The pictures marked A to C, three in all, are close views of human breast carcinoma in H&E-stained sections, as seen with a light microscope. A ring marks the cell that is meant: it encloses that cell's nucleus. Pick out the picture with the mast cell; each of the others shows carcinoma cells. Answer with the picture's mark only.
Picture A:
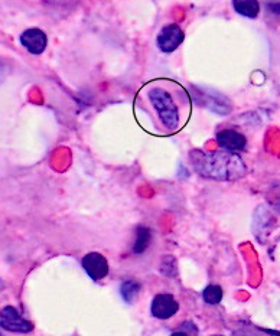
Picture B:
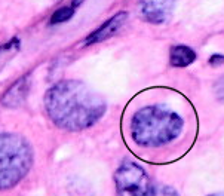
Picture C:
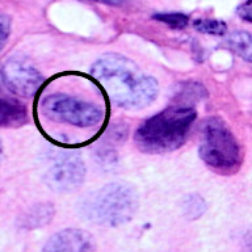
A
